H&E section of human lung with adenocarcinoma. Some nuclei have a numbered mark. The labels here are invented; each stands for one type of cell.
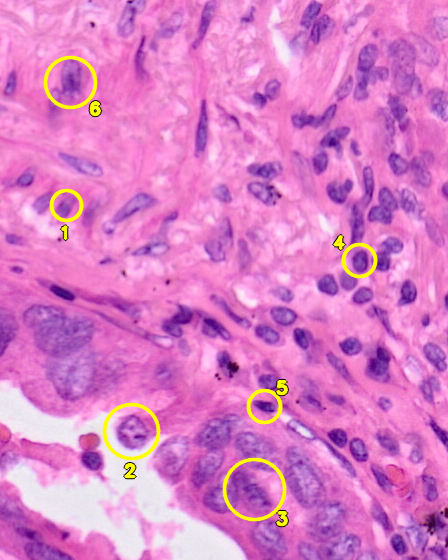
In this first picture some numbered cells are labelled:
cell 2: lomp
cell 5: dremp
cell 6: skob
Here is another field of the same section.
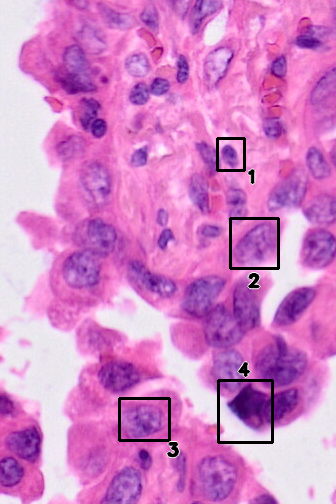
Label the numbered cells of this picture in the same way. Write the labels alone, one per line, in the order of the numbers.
dremp
lomp
lomp
lomp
